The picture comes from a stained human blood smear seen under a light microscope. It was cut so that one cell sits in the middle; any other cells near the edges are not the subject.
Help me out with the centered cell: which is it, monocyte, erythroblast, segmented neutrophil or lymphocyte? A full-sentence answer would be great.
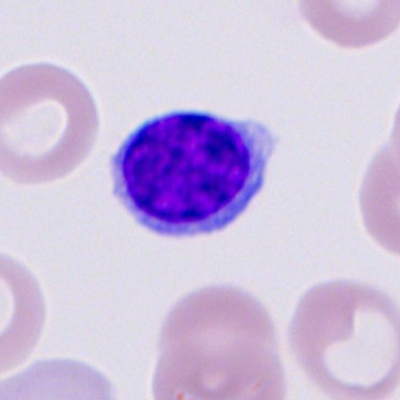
Classified as a lymphocyte is the cell in the middle of this crop.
